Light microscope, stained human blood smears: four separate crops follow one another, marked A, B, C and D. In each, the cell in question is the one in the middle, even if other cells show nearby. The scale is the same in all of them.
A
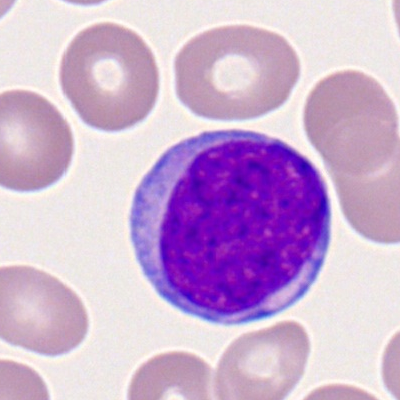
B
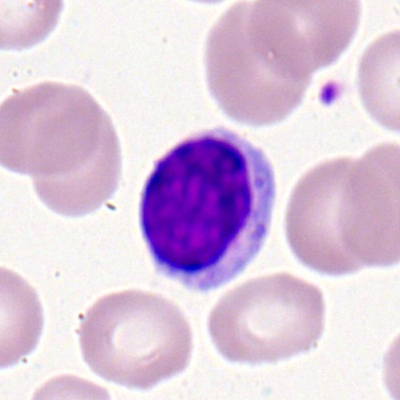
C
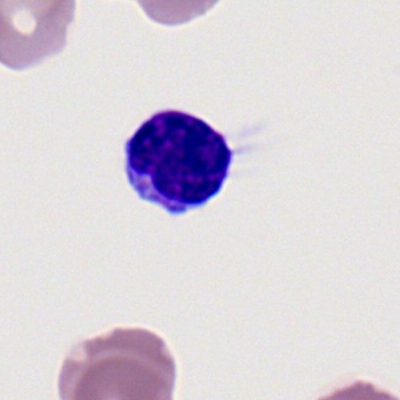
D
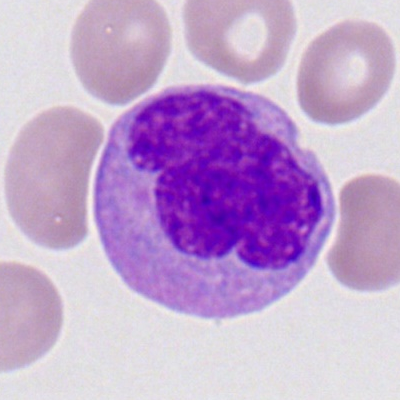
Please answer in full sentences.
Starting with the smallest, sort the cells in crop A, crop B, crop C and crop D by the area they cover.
From the smallest up, the order is C, B, A, D.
